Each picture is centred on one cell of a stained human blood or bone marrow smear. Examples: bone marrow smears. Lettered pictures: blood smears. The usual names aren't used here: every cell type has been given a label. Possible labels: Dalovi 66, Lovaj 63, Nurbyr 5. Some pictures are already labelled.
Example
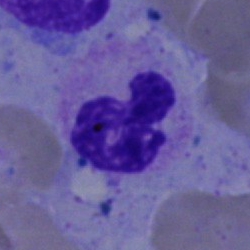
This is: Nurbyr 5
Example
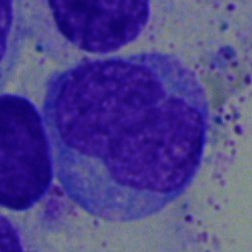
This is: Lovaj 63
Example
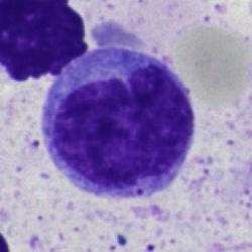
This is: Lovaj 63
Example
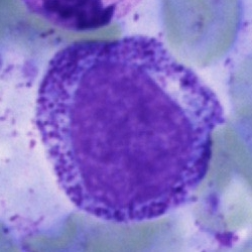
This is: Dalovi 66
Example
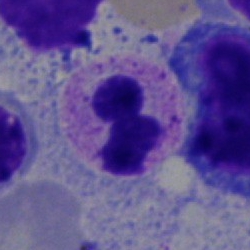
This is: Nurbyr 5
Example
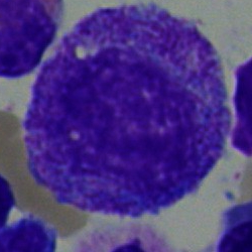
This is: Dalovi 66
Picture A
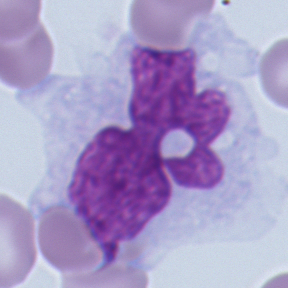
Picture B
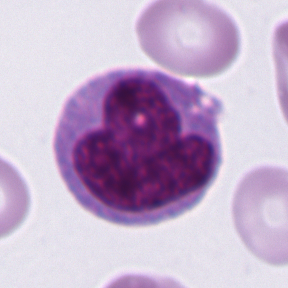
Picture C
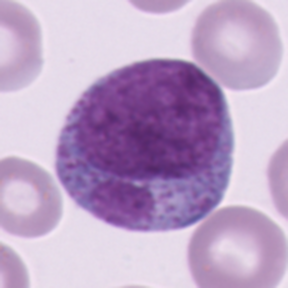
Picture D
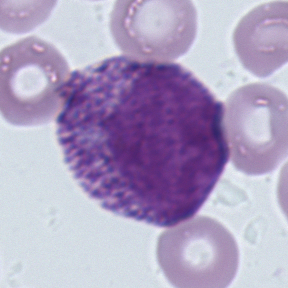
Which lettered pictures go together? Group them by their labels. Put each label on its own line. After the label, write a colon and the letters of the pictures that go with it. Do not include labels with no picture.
Dalovi 66: C, D
Lovaj 63: A, B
